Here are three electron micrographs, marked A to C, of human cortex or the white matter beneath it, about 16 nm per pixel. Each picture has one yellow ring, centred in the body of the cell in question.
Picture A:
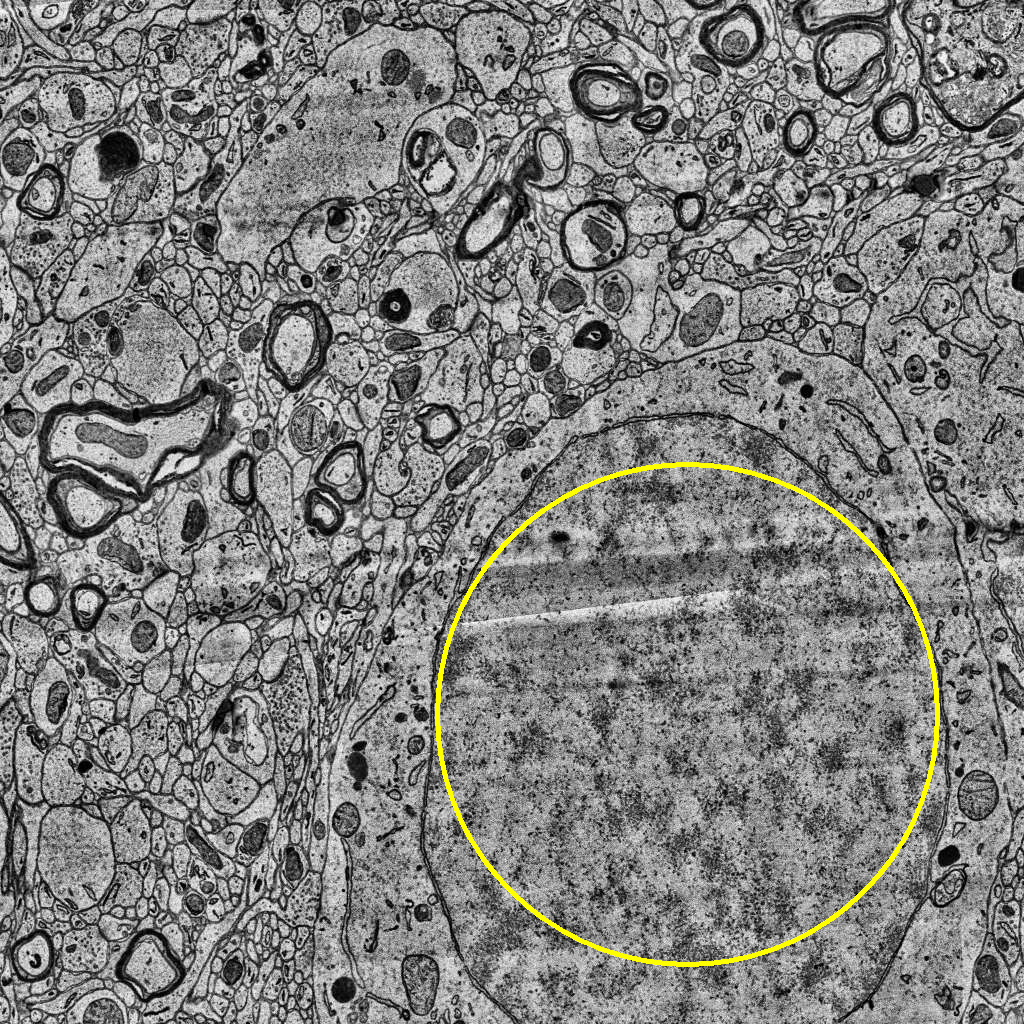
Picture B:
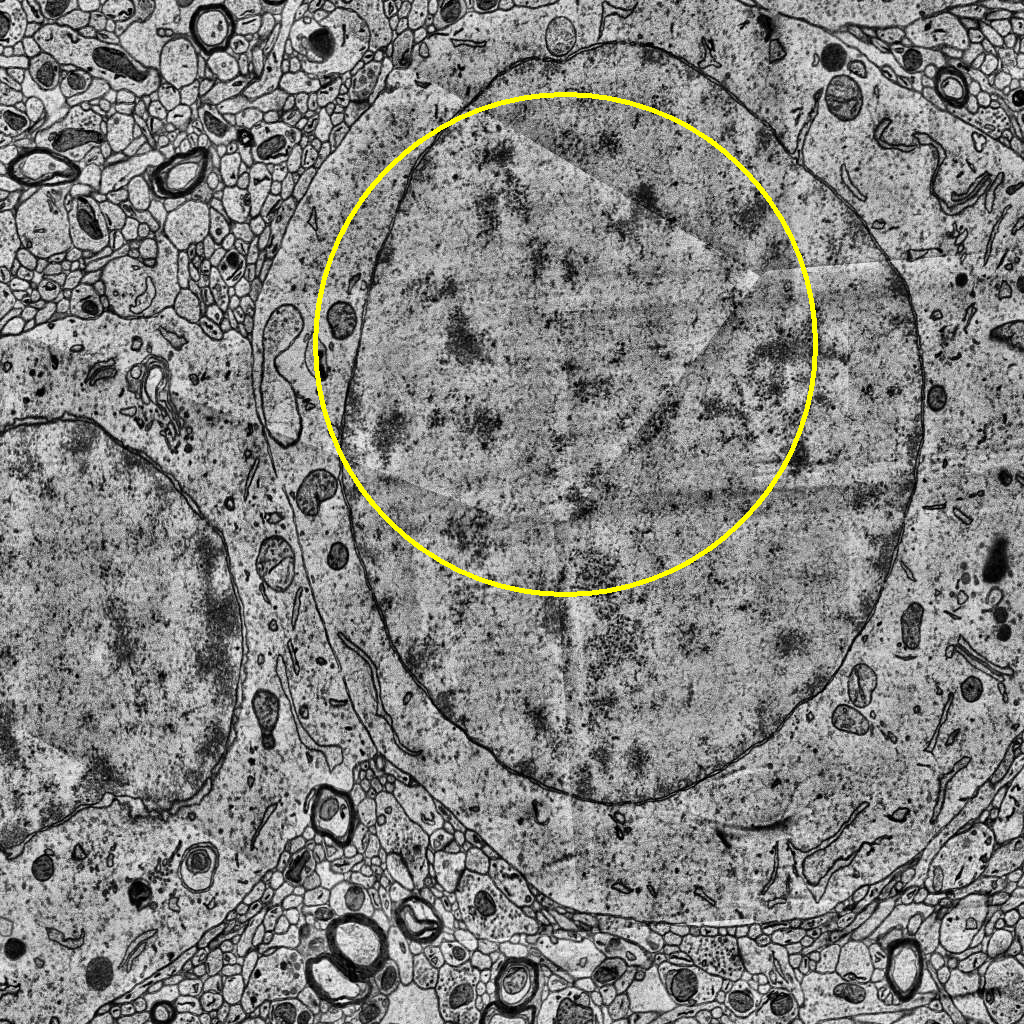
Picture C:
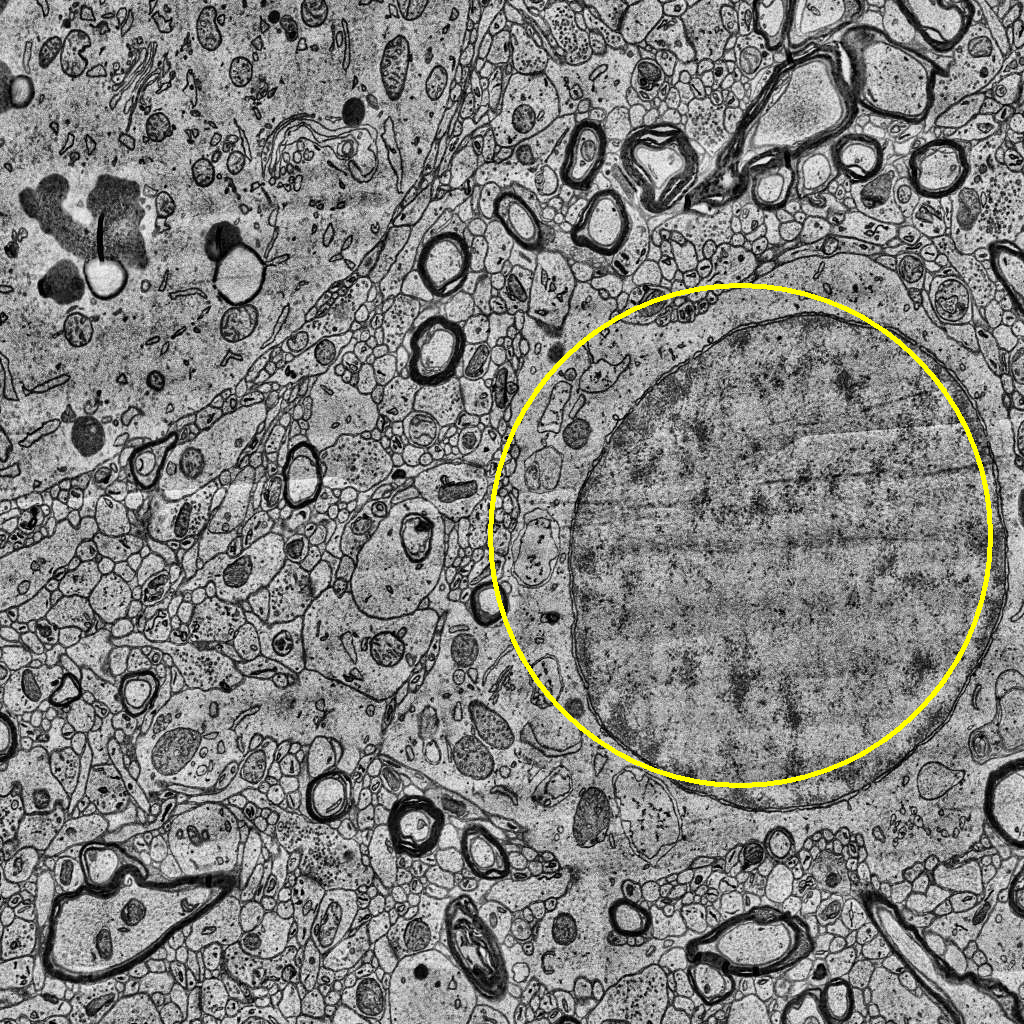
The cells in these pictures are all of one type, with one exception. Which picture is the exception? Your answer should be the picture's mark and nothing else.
C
